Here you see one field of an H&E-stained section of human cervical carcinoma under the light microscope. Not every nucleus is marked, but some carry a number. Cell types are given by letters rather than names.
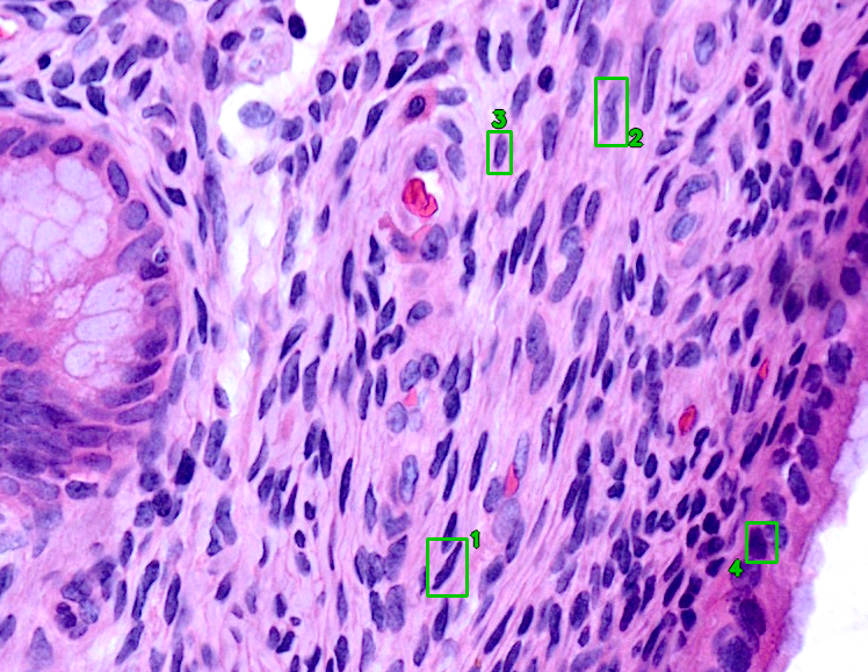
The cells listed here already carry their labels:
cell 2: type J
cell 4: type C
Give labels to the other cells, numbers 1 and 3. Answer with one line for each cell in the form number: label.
1: type J
3: type J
